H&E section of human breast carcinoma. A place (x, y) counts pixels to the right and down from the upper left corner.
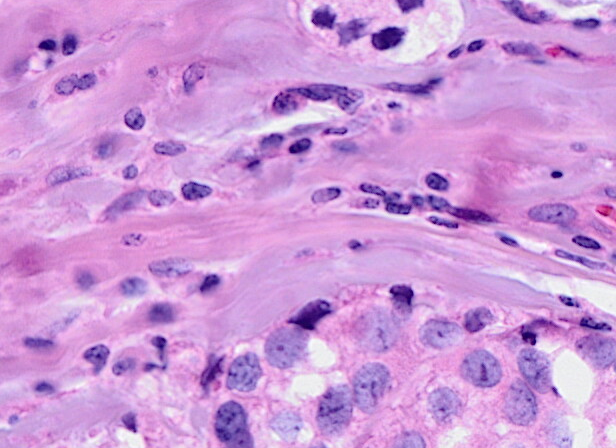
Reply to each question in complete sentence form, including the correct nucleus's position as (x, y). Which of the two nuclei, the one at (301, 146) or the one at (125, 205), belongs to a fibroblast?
The one belonging to a fibroblast is the nucleus at (125, 205), not the other.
